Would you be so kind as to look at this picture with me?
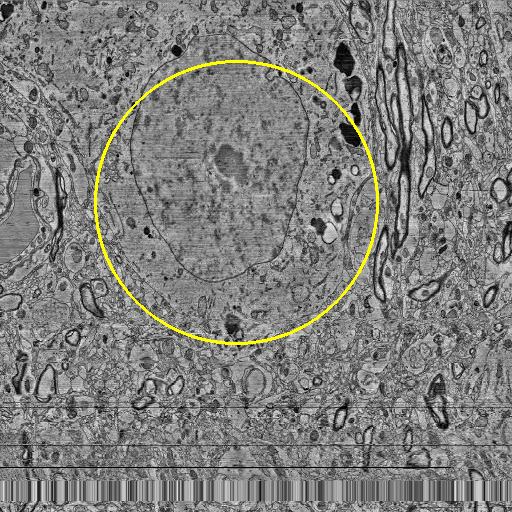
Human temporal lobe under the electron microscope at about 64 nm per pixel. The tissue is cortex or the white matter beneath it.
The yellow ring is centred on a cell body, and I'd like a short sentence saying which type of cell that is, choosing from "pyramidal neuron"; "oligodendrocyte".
The cell body in the ring belongs to a pyramidal neuron.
